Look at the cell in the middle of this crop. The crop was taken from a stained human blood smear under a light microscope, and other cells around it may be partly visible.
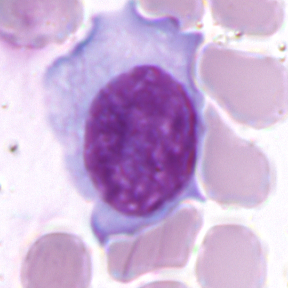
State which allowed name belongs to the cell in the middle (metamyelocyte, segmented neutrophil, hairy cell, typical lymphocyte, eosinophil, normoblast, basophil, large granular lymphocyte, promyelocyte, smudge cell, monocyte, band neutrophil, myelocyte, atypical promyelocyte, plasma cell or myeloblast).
plasma cell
